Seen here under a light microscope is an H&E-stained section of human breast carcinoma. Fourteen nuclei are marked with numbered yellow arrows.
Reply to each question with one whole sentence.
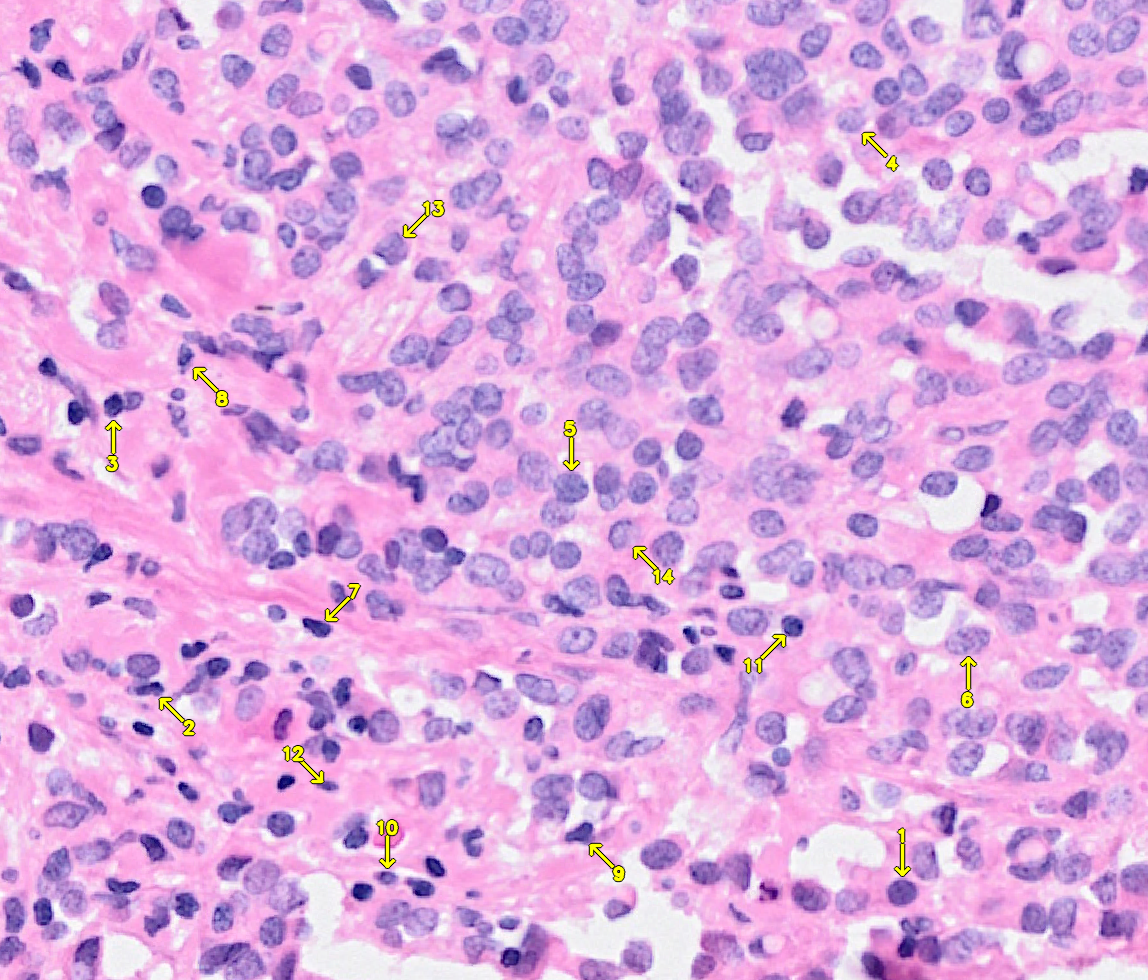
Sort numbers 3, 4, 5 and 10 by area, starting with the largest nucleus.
Going from the biggest nucleus down to the smallest gives 5, 4, 3, 10.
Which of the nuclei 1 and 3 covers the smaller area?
Nucleus 3 is the smaller one; nucleus 1 covers about 1.5 times its area.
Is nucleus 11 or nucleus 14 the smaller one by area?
Number 11 is smaller, since number 14 takes up about 1.5 times as much area.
